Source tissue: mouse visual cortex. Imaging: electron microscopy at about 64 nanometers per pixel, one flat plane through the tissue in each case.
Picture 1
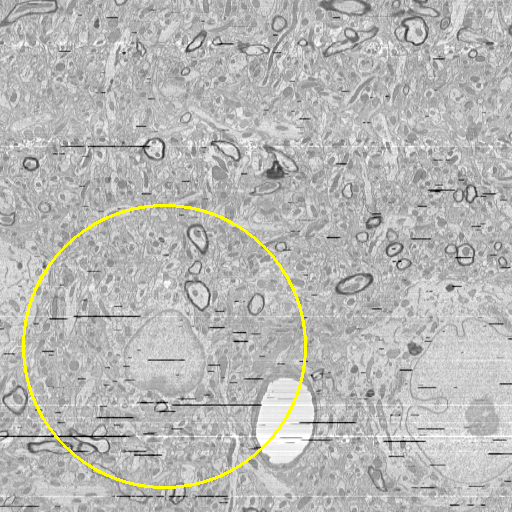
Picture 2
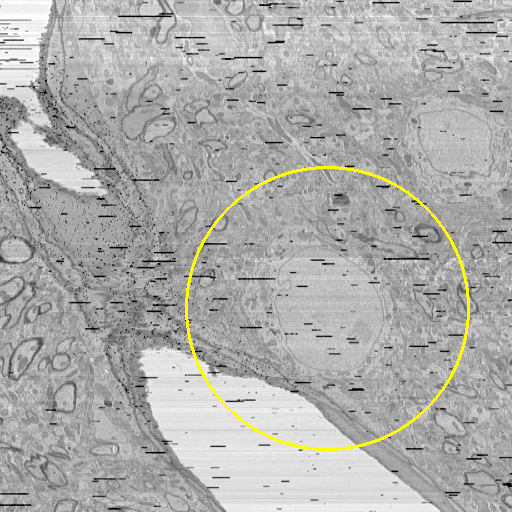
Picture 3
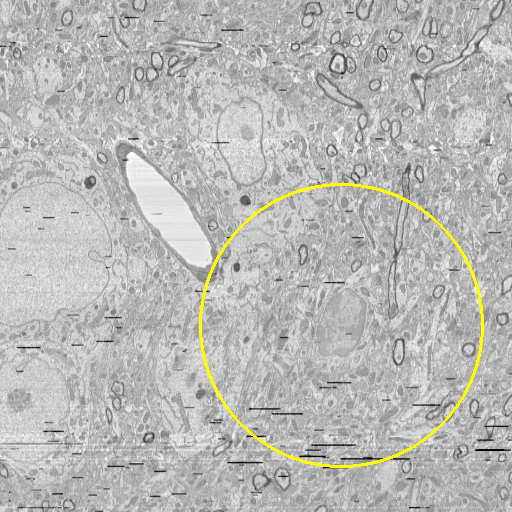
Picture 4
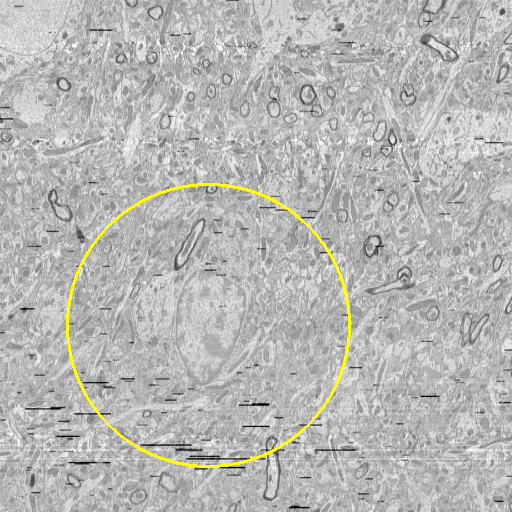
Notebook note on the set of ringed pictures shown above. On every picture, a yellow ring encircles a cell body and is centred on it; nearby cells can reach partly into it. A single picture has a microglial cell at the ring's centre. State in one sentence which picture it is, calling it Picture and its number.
Picture 3 is the one whose ring is centred on the sought cell.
